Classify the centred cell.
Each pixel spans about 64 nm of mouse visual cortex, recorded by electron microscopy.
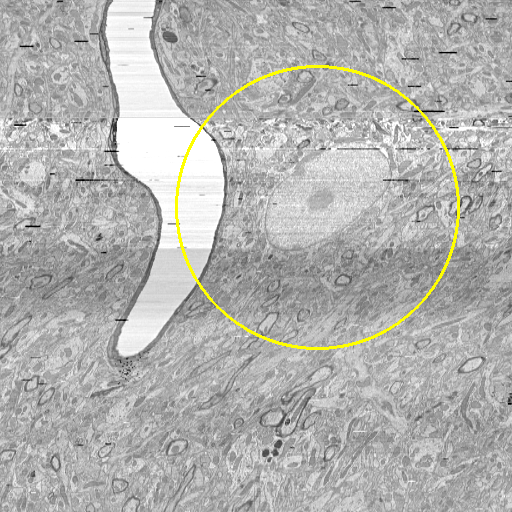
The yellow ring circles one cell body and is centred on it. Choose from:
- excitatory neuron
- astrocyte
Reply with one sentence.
The ring is centred on an astrocyte.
